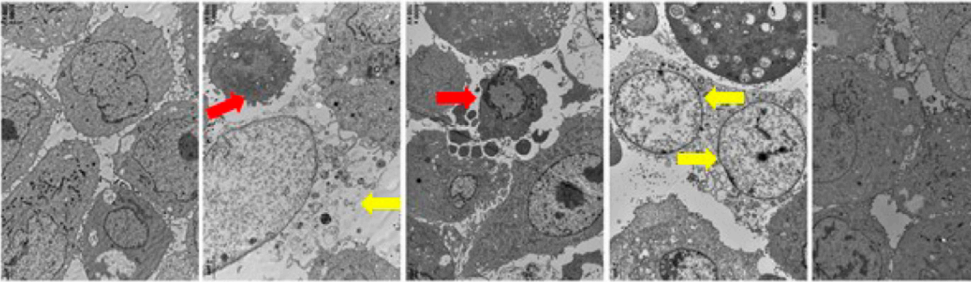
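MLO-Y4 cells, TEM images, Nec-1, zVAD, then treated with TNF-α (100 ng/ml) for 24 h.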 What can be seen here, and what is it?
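This is a row of electron micrographs of cultured osteocytes. Some cells are small and shrunken, with dense dark nuclei and cytoplasm, and rounded fragments lie beside them. Others are swollen, with pale, sparse cytoplasm, and stand out against intact neighbours that have large oval nuclei and evenly grey cytoplasm.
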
